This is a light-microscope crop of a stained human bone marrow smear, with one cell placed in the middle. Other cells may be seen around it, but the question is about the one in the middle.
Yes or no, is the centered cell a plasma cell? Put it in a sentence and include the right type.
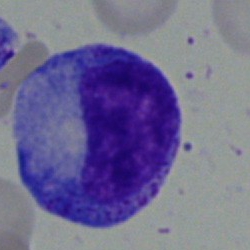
No, the central cell here is a promyelocyte; calling it a plasma cell is not right.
